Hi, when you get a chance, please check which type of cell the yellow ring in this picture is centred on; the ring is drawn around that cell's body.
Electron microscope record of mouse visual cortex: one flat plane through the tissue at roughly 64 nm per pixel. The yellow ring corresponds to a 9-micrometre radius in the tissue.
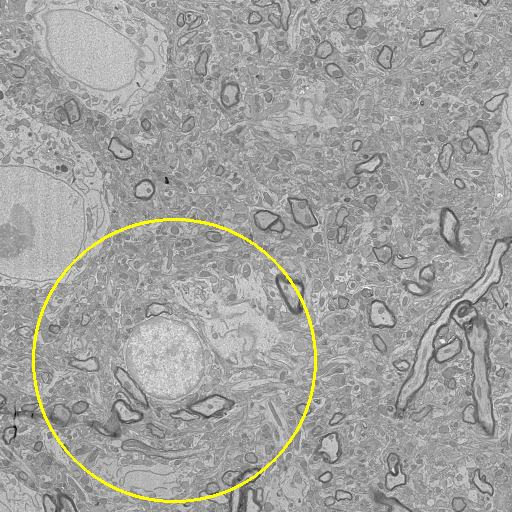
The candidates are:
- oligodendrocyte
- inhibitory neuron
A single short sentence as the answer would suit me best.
The ring is drawn around the body of an oligodendrocyte.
